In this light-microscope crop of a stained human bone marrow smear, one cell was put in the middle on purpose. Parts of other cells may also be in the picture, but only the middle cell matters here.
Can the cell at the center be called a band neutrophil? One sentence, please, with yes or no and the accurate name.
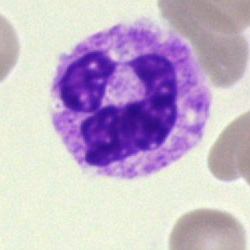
No, the cell in the middle is correctly named a segmented neutrophil, not a band neutrophil.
